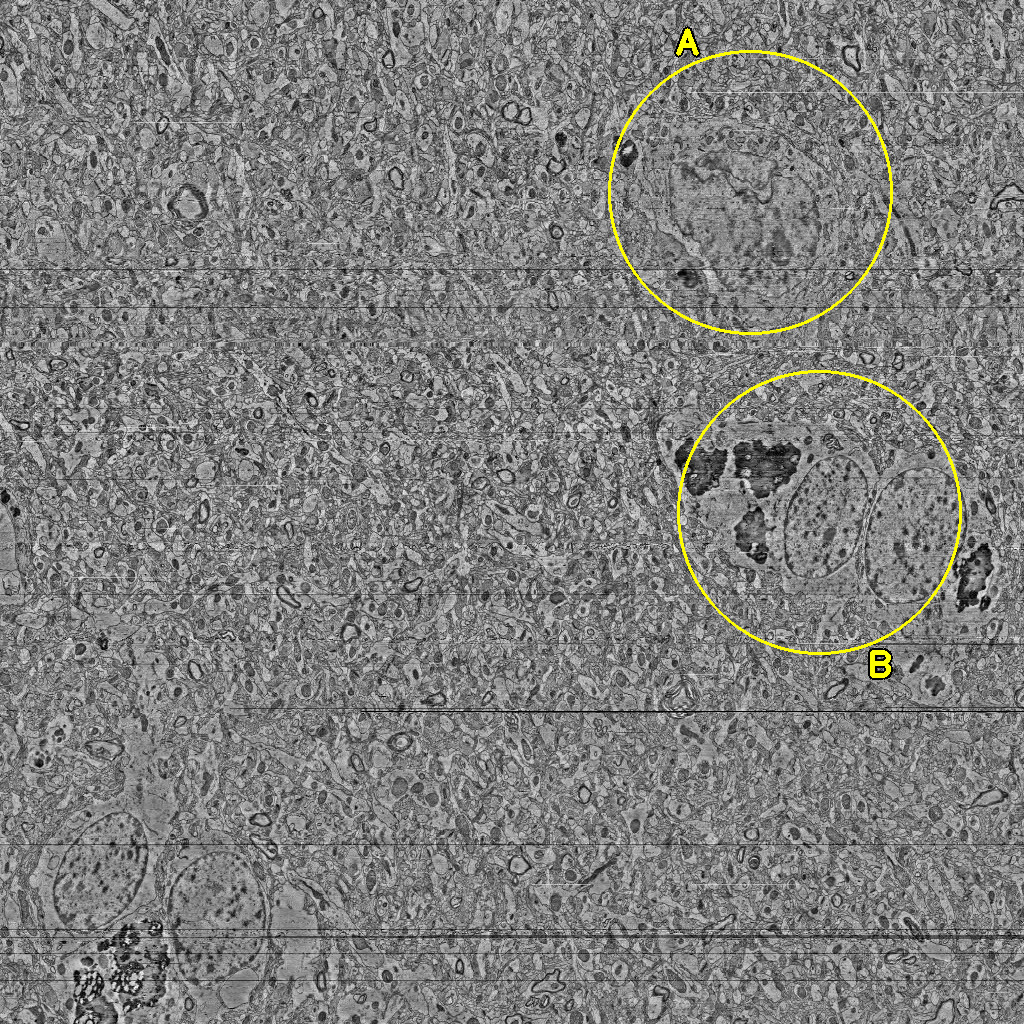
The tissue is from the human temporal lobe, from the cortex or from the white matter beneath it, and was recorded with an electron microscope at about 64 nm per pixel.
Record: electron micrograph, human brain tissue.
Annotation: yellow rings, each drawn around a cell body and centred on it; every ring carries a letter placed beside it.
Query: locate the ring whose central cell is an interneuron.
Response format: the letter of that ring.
A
